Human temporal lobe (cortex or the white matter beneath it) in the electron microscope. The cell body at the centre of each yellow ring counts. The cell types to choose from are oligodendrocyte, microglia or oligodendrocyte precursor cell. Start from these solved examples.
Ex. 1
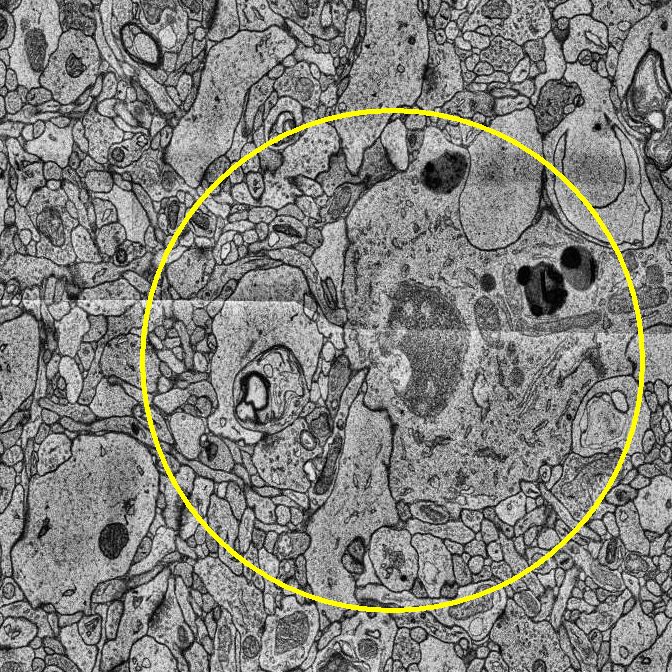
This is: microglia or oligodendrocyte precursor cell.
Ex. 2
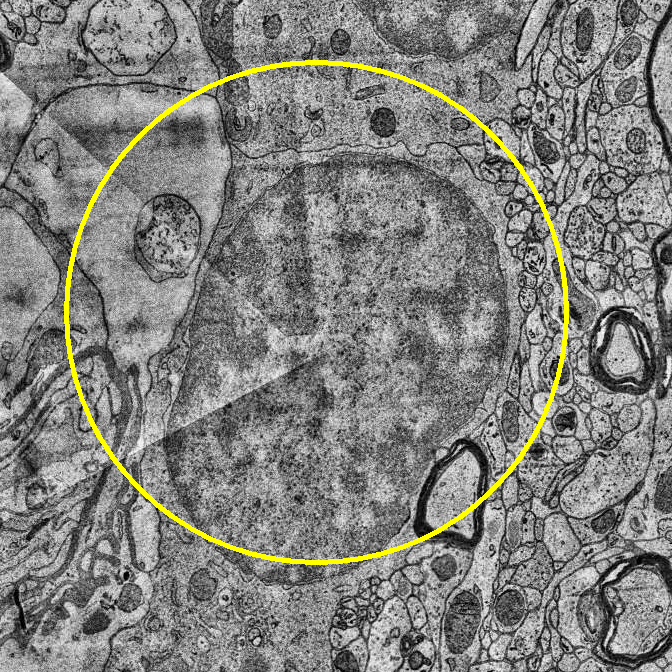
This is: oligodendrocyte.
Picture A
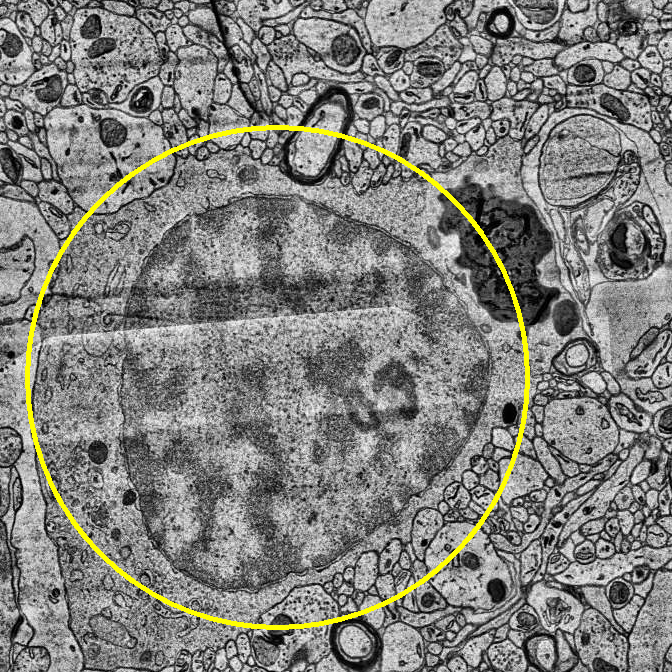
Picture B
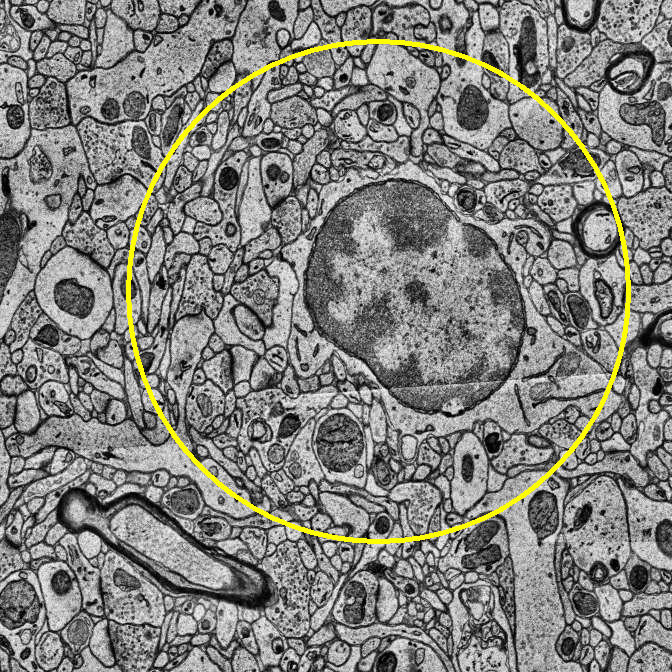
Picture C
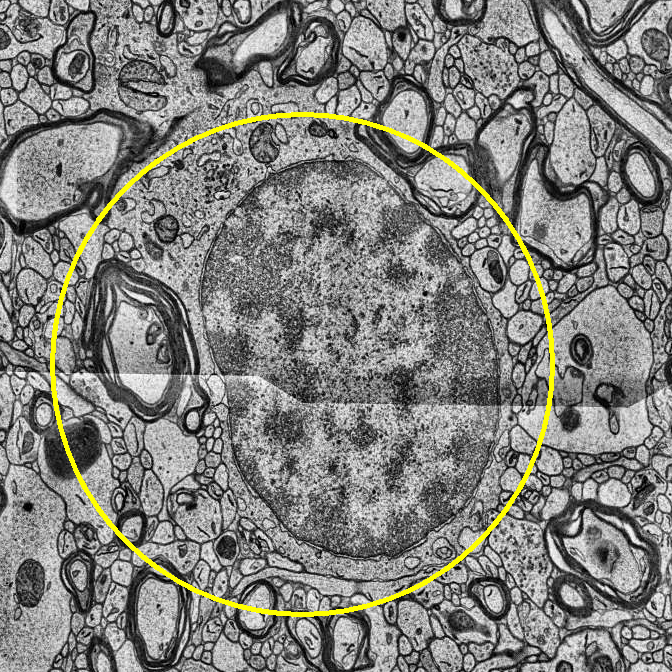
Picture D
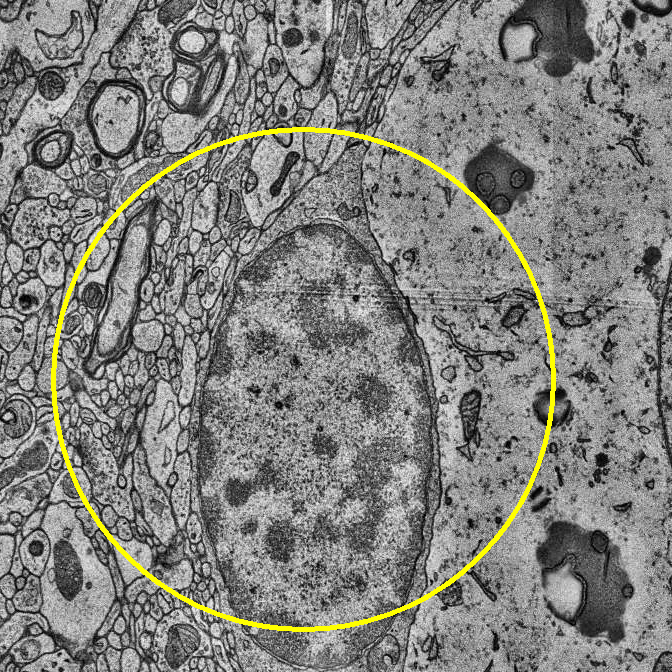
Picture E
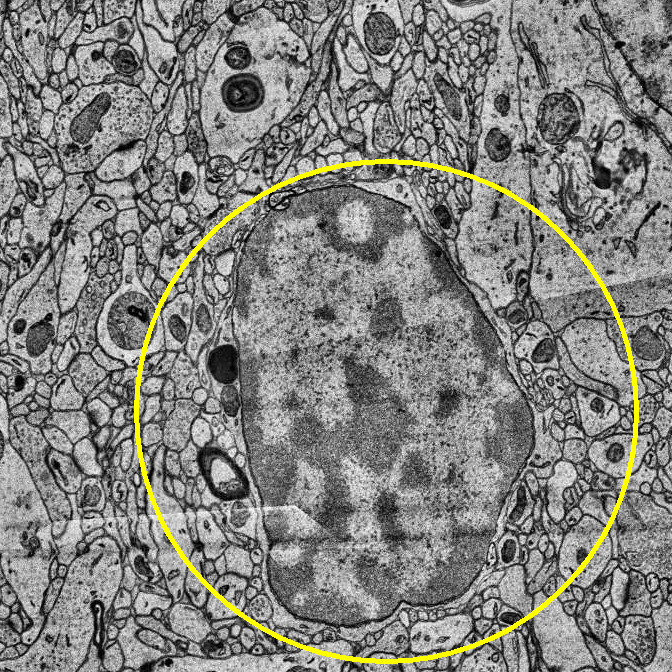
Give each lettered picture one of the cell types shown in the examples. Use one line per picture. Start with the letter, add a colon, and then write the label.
A: oligodendrocyte.
B: microglia or oligodendrocyte precursor cell.
C: oligodendrocyte.
D: oligodendrocyte.
E: microglia or oligodendrocyte precursor cell.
